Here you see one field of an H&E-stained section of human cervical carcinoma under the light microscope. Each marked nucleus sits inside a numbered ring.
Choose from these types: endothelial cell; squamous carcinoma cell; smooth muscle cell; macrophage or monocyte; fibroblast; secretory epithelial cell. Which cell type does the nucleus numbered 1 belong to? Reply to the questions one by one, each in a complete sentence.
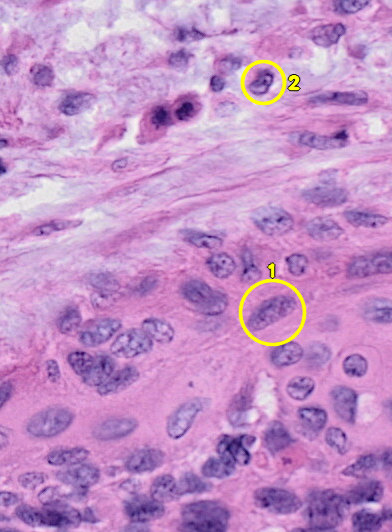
It is as a squamous carcinoma cell that the cell numbered 1 is identified.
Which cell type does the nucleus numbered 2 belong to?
Cell 2 in the field of view is a macrophage or monocyte.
